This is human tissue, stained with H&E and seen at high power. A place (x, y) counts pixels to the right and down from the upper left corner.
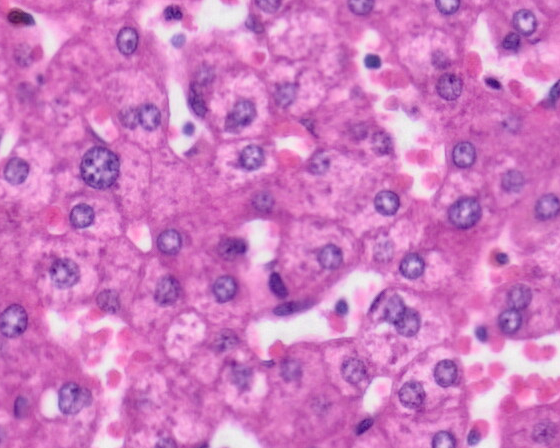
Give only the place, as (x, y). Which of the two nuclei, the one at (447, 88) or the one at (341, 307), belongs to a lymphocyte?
(341, 307)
